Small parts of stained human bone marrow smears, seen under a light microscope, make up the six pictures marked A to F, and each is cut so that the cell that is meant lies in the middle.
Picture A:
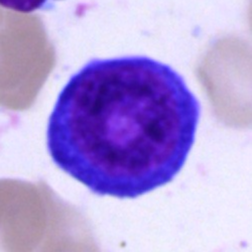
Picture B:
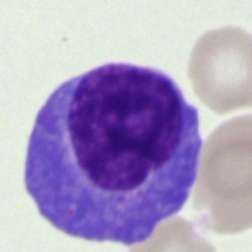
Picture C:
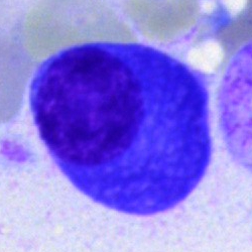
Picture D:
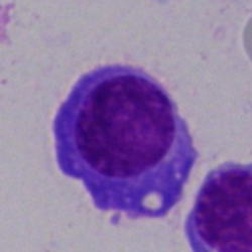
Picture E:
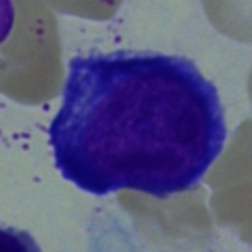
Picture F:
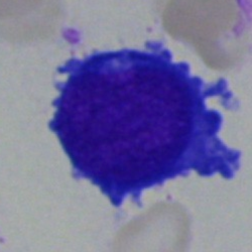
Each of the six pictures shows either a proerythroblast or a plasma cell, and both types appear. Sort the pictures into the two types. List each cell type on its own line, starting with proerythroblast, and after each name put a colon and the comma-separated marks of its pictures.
proerythroblast: A, E, F
plasma cell: B, C, D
